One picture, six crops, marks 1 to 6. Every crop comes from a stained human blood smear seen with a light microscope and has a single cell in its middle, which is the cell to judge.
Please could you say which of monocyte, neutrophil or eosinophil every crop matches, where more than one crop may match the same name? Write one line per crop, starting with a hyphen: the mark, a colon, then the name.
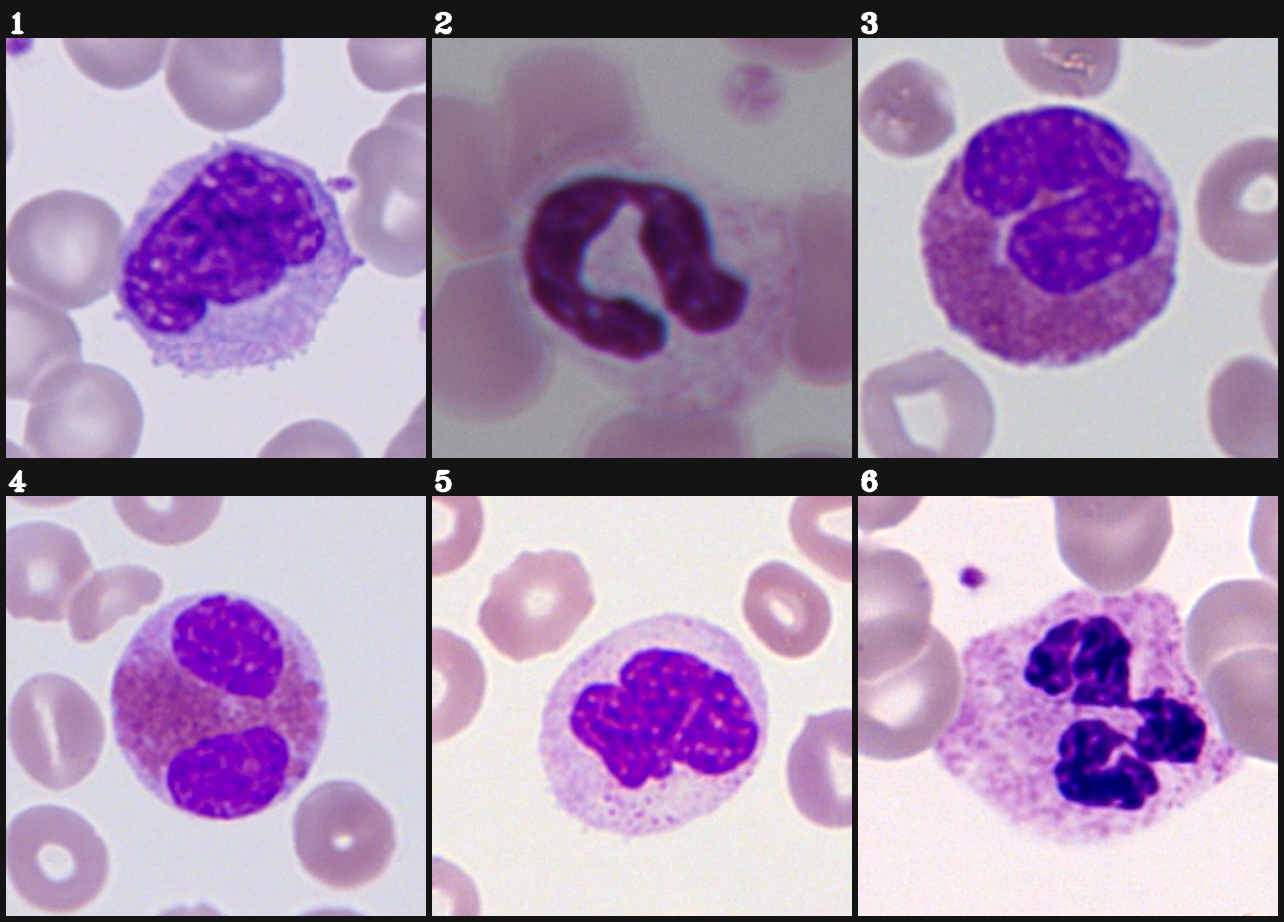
- 1: monocyte
- 2: neutrophil
- 3: eosinophil
- 4: eosinophil
- 5: neutrophil
- 6: neutrophil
